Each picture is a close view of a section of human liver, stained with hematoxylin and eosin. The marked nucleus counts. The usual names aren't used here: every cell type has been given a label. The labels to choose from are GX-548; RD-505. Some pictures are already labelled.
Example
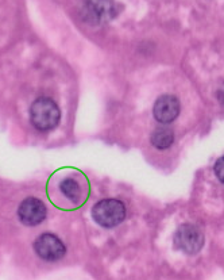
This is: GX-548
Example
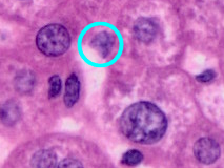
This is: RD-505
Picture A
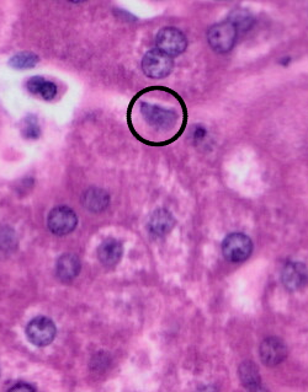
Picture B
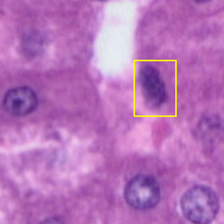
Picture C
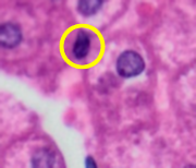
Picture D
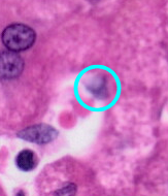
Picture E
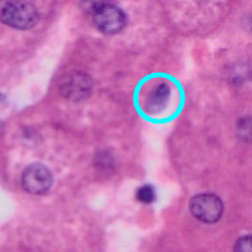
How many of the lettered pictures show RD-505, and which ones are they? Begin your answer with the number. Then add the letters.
3: A, D, E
